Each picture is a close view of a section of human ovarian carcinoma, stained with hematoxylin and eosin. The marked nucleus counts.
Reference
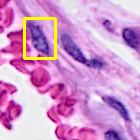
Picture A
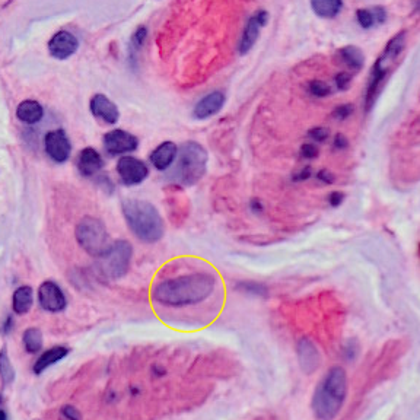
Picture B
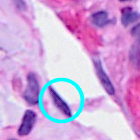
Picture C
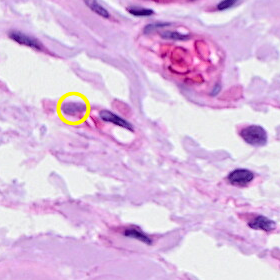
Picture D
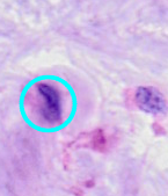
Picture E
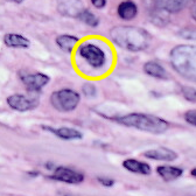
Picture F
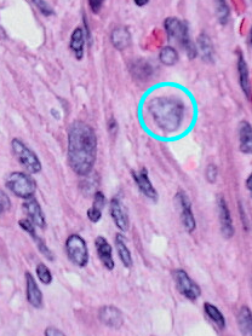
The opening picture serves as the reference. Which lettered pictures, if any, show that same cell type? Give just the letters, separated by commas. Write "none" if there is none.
A, B, C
